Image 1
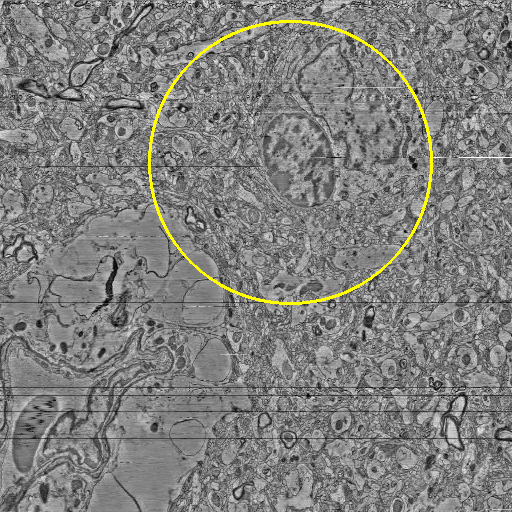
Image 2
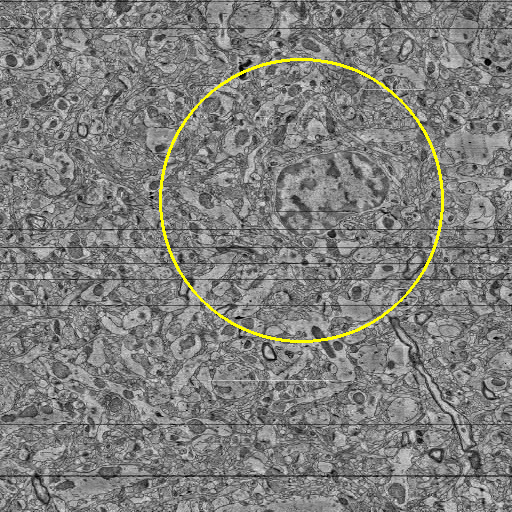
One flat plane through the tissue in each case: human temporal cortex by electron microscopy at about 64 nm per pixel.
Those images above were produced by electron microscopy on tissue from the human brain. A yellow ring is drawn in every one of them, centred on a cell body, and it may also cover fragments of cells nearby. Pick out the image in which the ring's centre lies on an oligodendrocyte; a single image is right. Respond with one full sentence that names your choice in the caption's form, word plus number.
Image 1 is my choice: its ring is centred on the requested cell.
